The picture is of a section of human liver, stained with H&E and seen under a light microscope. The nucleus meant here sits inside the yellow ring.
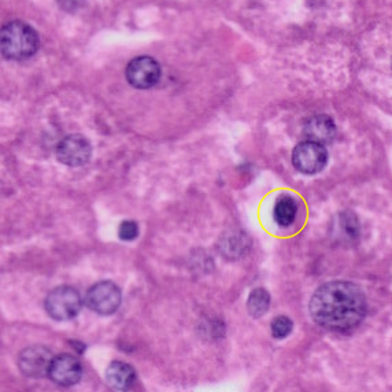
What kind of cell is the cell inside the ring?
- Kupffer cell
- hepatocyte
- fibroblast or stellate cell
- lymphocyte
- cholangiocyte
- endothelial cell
lymphocyte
